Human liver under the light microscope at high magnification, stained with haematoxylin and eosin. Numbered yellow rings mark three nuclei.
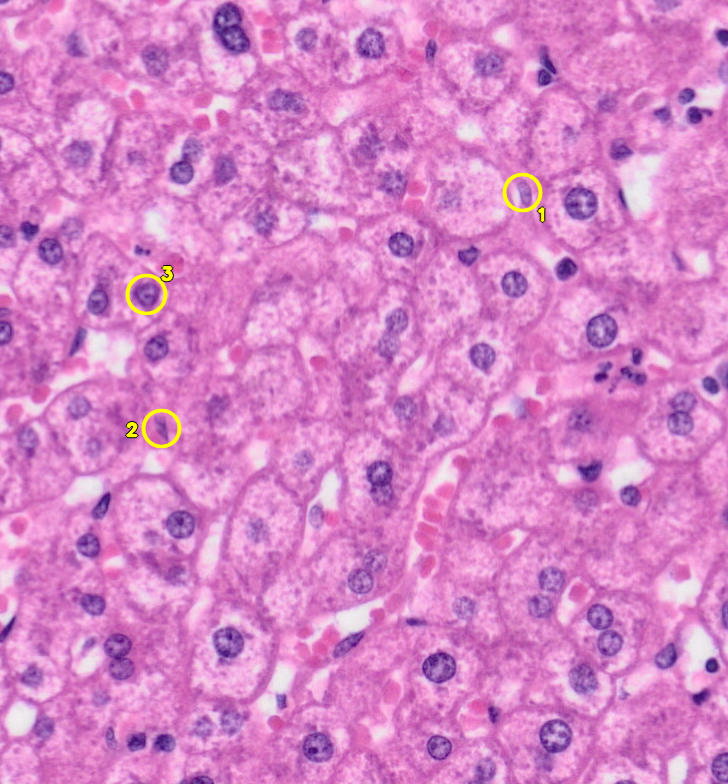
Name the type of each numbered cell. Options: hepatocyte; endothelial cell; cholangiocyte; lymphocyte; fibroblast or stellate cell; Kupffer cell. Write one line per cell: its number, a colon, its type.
1: Kupffer cell
2: endothelial cell
3: hepatocyte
